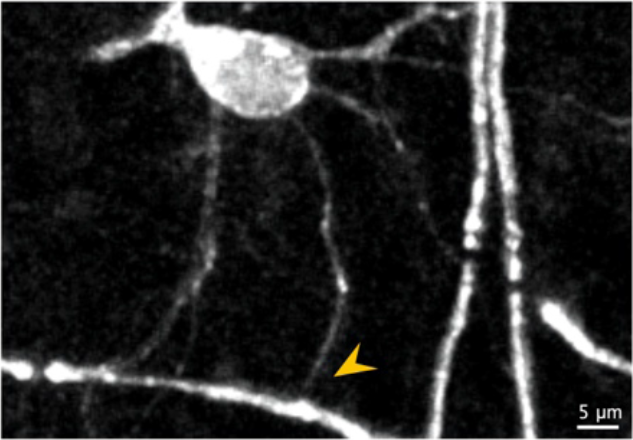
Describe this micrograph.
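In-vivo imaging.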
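A bright rounded oligodendrocyte cell body lies near the top with several fine, beaded processes running downward. One process joins a thicker straight myelin sheath below, and other thick tubular sheaths run across the field.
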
